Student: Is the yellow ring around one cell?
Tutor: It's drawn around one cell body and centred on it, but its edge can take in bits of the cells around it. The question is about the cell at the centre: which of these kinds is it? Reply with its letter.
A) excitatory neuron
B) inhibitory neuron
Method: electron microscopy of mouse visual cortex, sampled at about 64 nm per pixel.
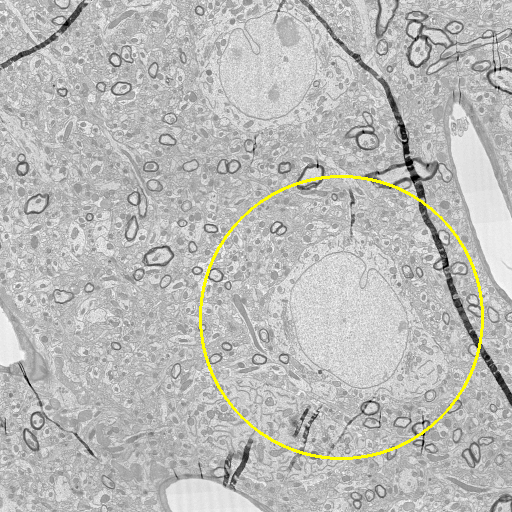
A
